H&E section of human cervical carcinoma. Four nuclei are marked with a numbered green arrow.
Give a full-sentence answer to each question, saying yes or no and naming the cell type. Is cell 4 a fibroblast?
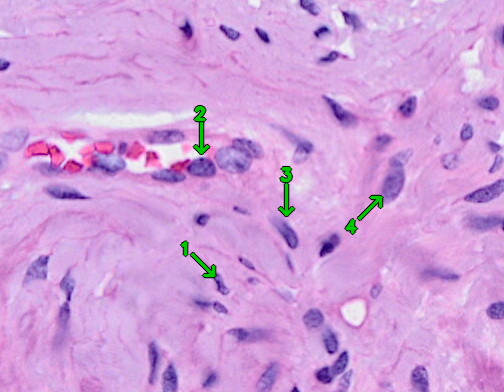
Yes, the cell numbered 4 in this tissue is a fibroblast.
